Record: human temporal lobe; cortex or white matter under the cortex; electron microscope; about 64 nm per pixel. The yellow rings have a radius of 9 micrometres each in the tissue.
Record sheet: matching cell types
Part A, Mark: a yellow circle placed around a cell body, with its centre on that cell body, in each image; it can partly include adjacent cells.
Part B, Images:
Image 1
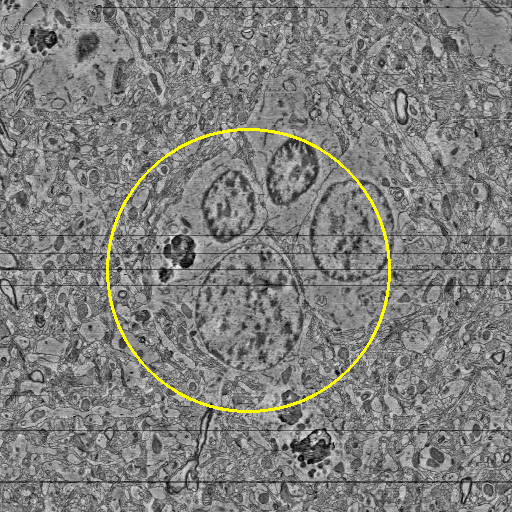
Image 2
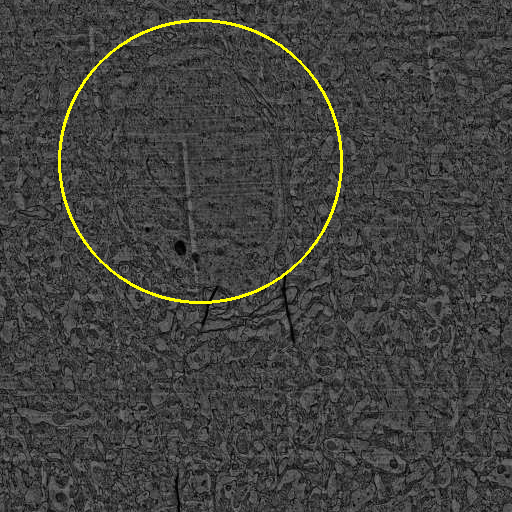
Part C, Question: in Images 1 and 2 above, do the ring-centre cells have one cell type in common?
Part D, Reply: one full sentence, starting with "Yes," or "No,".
No, the ring-centre cells of Image 1 and Image 2 are each of a separate cell type.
